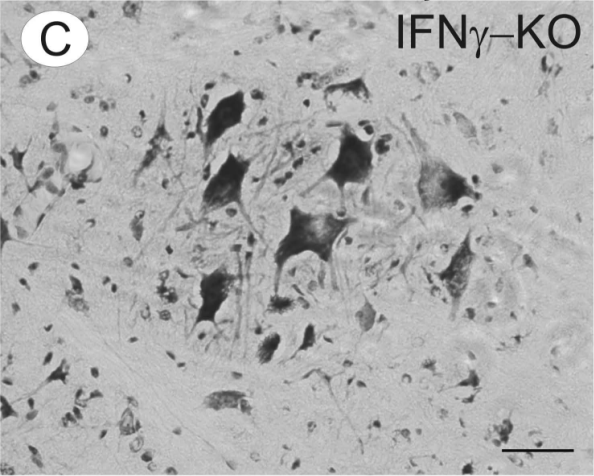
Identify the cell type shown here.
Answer: Motoneuron cell bodies.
